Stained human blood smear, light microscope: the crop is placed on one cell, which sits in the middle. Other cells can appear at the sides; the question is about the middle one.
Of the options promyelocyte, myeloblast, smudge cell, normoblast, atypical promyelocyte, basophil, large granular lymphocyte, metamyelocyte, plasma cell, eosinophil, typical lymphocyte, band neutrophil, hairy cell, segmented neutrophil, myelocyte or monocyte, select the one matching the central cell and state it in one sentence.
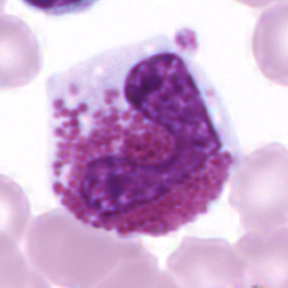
The cell featured at the centre of this crop is an eosinophil.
